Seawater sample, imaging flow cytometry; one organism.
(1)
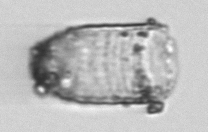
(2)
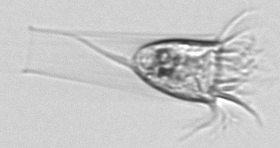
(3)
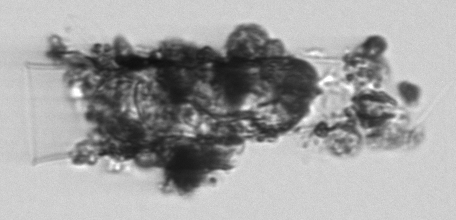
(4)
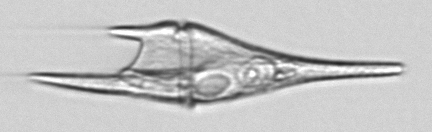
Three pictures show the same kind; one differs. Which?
Picture 4: Tripos, while the others are tintinnids.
